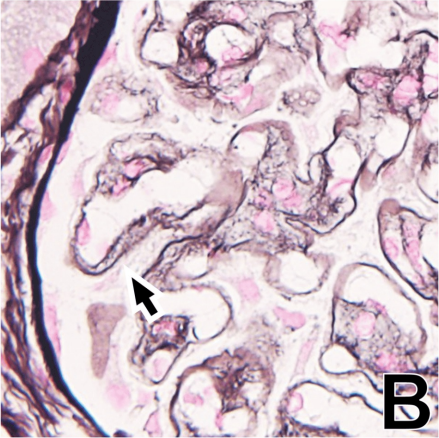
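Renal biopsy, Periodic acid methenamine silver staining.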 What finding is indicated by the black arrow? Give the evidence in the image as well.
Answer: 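Paler material lies between the two lines.
Answer: duplication of the glomerular capillary walls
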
